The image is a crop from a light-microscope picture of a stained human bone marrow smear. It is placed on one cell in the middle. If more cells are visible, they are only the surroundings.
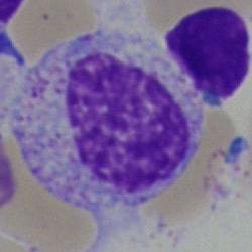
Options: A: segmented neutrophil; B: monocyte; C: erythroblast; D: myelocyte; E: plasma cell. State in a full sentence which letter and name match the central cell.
The best answer is option D, since the cell in the middle is a myelocyte.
